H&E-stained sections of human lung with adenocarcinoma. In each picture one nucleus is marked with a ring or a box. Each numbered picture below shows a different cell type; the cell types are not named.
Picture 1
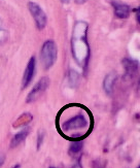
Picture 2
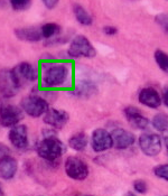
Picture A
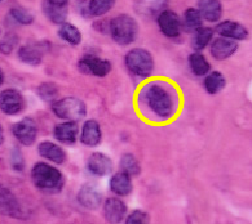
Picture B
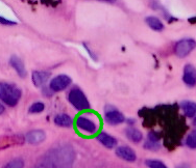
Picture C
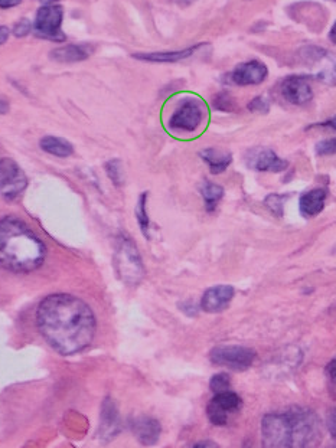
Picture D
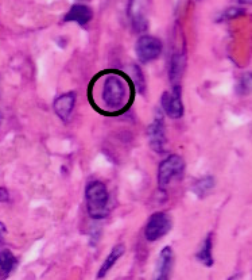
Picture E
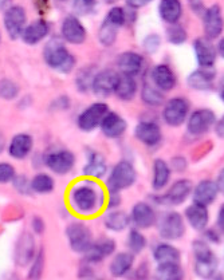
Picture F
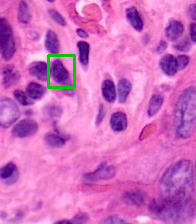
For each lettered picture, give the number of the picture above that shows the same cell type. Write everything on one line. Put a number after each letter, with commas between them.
A 2, B 2, C 1, D 1, E 2, F 2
